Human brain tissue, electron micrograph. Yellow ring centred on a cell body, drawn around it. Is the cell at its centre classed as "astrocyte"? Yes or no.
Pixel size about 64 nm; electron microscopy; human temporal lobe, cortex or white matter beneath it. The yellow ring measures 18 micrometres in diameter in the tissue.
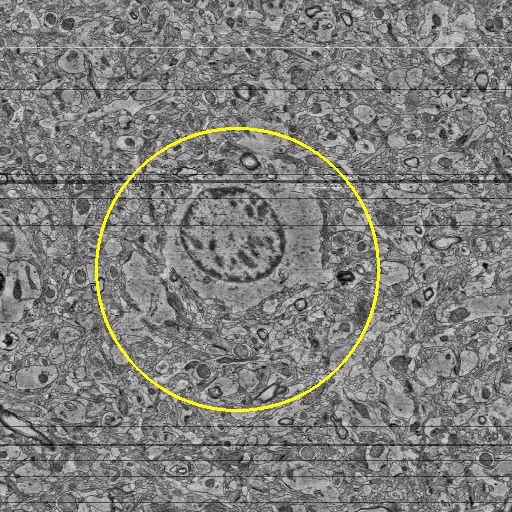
Yes, it is classed as that.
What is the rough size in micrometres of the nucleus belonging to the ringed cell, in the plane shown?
The nucleus is about 6 micrometres across in this plane.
